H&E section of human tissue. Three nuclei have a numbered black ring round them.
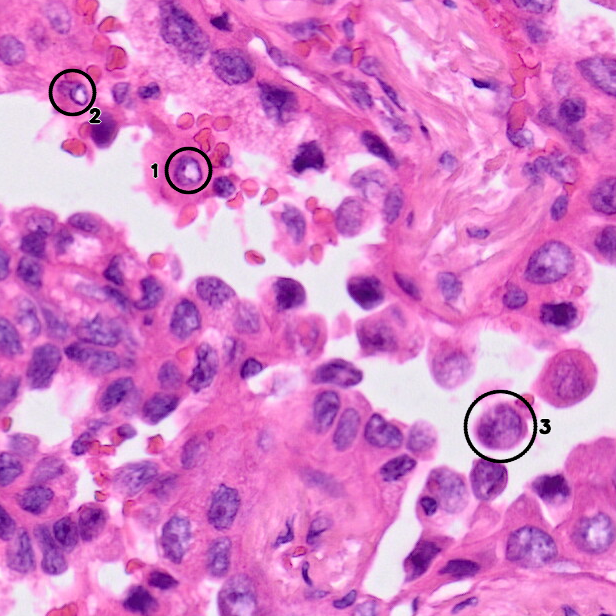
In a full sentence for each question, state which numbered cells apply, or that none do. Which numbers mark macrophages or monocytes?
The cells marked 1 and 2 in the section are macrophages or monocytes.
